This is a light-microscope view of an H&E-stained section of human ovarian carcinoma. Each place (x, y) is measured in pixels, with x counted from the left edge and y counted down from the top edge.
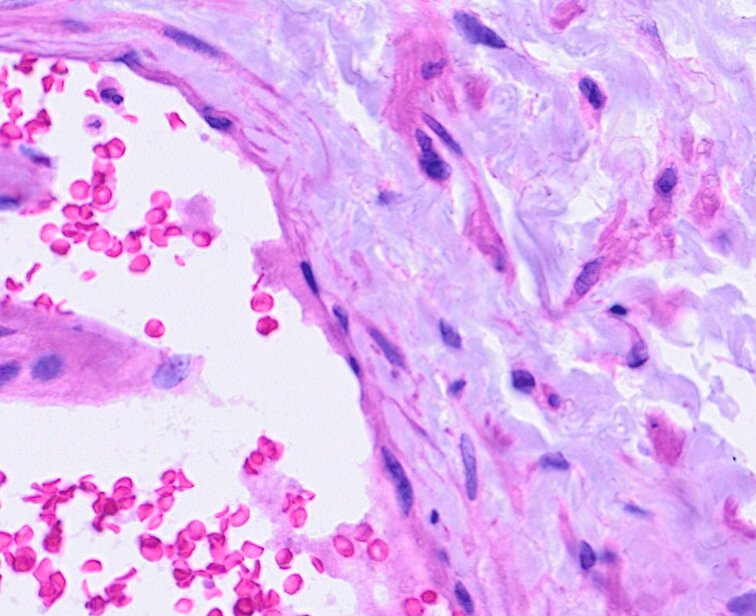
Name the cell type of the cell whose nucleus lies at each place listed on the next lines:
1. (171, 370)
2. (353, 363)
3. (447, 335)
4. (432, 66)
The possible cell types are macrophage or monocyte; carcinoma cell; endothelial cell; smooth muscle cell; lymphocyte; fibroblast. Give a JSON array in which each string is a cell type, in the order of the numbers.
["endothelial cell", "endothelial cell", "fibroblast", "smooth muscle cell"]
